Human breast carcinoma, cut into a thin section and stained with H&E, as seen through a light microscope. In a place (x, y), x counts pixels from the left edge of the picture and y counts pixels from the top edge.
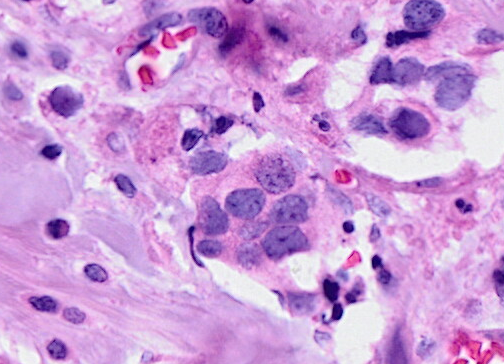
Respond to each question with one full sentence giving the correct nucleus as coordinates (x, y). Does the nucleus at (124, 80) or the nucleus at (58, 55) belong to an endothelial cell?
The nucleus lying at (124, 80) is the nucleus of an endothelial cell.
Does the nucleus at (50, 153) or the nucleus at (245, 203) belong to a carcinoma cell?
Of the two nuclei, the one at (245, 203) belongs to a carcinoma cell.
